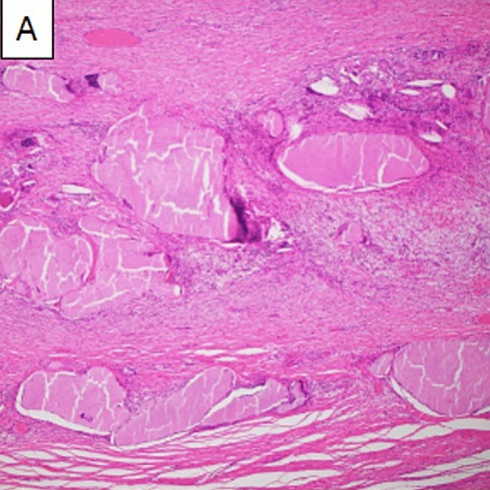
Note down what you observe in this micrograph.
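At low power, subcutaneous fibrous tissue is interrupted by many separate deposits of amorphous pink amyloid material. Small dark purple specks lie next to some of the deposits.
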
